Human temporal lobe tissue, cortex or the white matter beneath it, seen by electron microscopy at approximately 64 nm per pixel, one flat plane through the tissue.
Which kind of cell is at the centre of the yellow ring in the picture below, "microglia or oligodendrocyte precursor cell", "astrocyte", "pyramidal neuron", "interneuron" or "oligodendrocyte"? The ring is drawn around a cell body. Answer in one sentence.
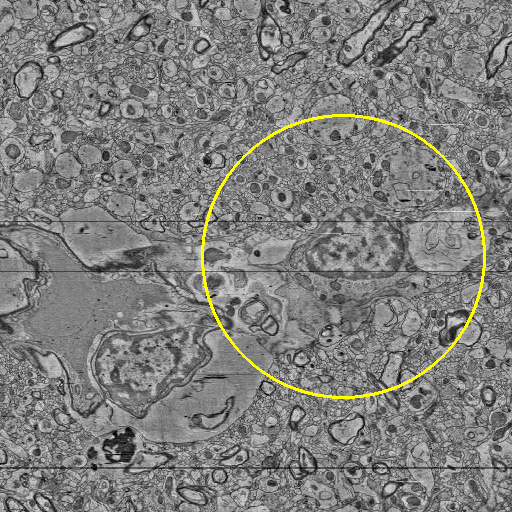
The ring's central cell is an oligodendrocyte.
